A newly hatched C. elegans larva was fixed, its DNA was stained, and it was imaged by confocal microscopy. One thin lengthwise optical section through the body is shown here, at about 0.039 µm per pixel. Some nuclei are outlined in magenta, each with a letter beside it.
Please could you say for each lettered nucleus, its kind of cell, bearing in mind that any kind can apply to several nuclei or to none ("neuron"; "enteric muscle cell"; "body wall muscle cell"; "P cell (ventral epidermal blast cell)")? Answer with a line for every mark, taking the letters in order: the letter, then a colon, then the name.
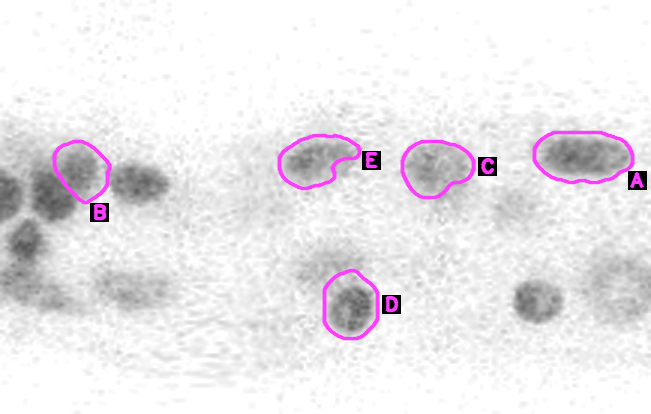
A: body wall muscle cell
B: neuron
C: P cell (ventral epidermal blast cell)
D: body wall muscle cell
E: body wall muscle cell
